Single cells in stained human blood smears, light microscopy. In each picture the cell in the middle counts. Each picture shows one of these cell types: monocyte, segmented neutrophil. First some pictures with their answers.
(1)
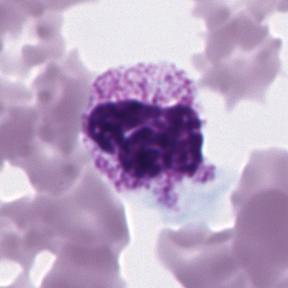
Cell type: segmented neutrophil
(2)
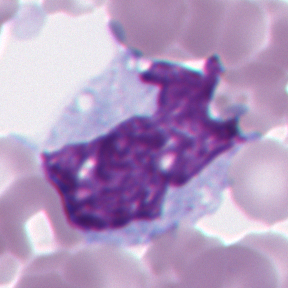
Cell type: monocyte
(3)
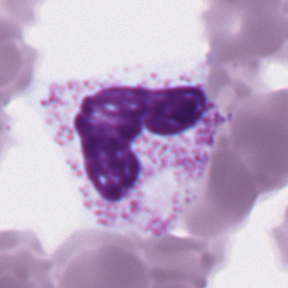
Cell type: segmented neutrophil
